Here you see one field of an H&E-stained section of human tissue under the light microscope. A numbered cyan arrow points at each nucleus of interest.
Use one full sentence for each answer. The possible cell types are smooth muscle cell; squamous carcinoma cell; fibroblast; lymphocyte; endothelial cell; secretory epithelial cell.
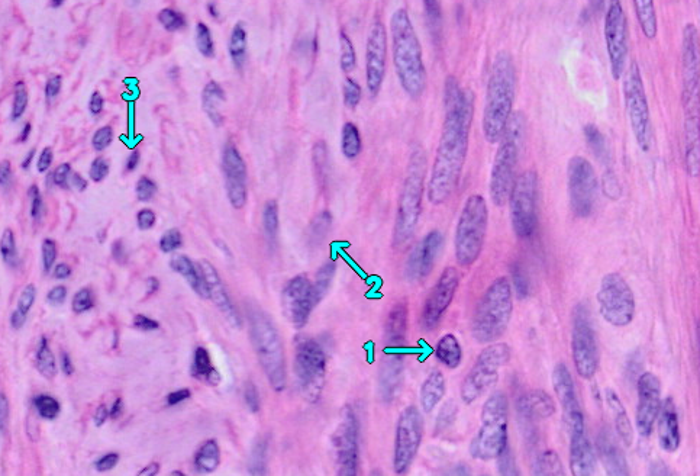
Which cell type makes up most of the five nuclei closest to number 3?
Smooth muscle cells make up most of the five nuclei closest to number 3.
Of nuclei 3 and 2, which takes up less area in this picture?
Number 3 is smaller, since number 2 takes up about 4 times as much area.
